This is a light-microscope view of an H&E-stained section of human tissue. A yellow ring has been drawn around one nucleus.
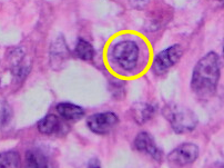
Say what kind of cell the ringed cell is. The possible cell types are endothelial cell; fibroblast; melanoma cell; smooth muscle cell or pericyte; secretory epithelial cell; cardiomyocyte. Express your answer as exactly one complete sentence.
In cellular terms, the ringed cell is a melanoma cell.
